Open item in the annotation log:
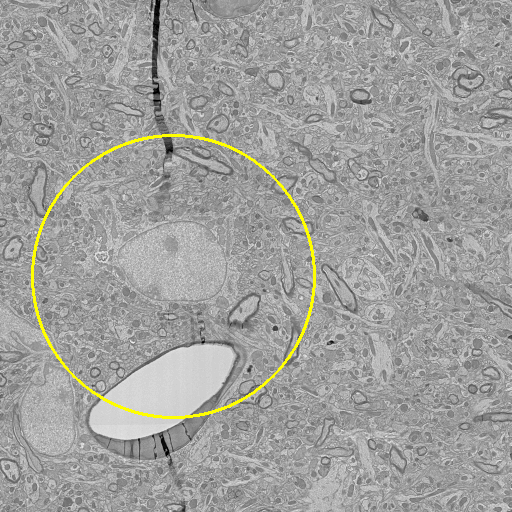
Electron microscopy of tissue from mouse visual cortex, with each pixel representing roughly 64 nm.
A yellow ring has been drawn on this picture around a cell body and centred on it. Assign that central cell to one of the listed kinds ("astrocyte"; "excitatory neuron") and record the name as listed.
astrocyte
